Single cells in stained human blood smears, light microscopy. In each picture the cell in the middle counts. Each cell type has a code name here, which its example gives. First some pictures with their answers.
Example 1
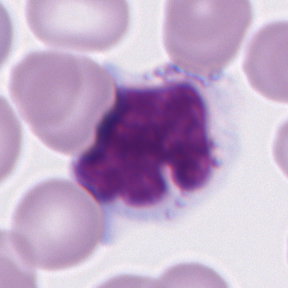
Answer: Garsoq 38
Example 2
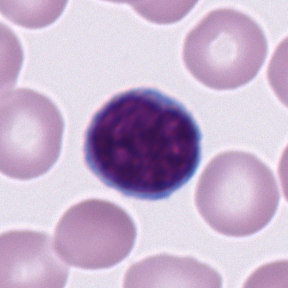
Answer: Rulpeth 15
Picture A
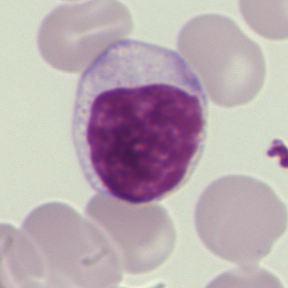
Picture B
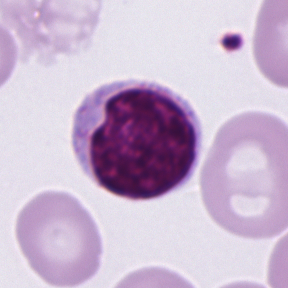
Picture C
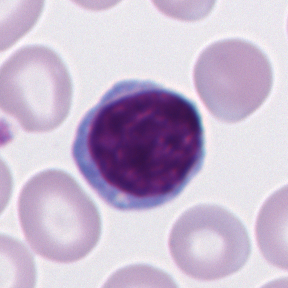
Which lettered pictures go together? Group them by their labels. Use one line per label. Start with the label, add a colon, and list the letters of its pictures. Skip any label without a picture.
Garsoq 38: A, B
Rulpeth 15: C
